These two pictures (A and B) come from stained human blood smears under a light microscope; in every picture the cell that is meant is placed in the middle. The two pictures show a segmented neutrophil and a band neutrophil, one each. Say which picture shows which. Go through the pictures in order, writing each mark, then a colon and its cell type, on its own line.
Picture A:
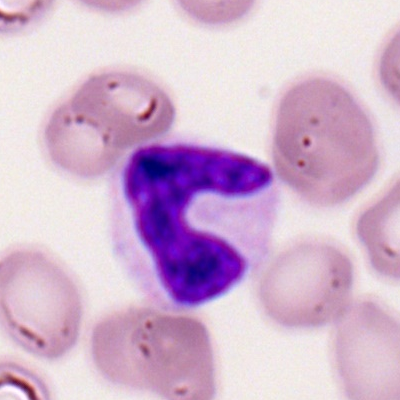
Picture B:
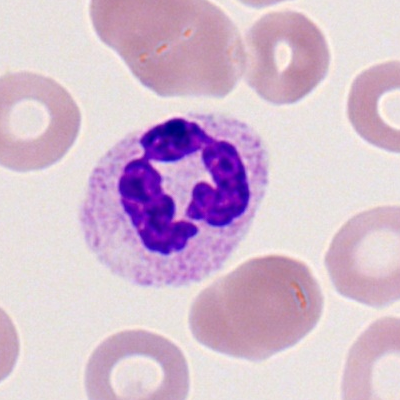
A: band neutrophil
B: segmented neutrophil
